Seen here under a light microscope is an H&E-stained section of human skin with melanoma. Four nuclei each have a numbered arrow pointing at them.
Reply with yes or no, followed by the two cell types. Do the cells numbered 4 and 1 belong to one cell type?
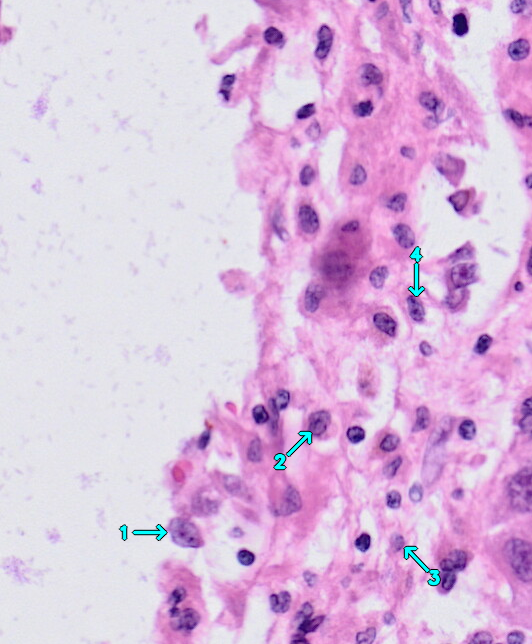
No, cell 4 is a macrophage or monocyte and cell 1 is a melanoma cell.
